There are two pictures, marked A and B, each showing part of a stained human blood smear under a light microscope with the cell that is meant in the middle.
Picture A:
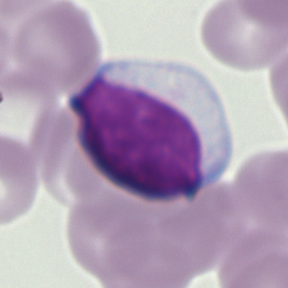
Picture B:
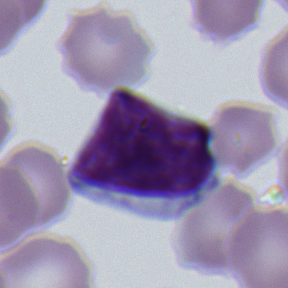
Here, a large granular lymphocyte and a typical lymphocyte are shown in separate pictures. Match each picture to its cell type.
A: large granular lymphocyte
B: typical lymphocyte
